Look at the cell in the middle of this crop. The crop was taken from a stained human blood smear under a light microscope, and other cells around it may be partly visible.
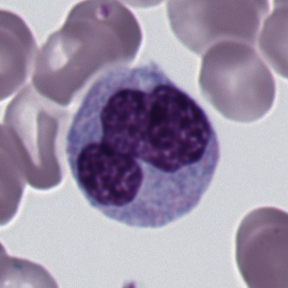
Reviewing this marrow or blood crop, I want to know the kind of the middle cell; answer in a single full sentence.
The center cell of this crop is a monocyte.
